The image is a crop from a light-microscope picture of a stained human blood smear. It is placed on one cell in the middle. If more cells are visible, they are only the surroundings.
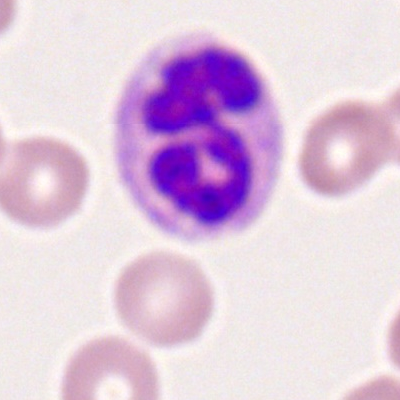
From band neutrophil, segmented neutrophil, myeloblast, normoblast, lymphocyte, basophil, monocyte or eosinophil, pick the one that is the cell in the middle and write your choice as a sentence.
The cell at the heart of this crop is a segmented neutrophil.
